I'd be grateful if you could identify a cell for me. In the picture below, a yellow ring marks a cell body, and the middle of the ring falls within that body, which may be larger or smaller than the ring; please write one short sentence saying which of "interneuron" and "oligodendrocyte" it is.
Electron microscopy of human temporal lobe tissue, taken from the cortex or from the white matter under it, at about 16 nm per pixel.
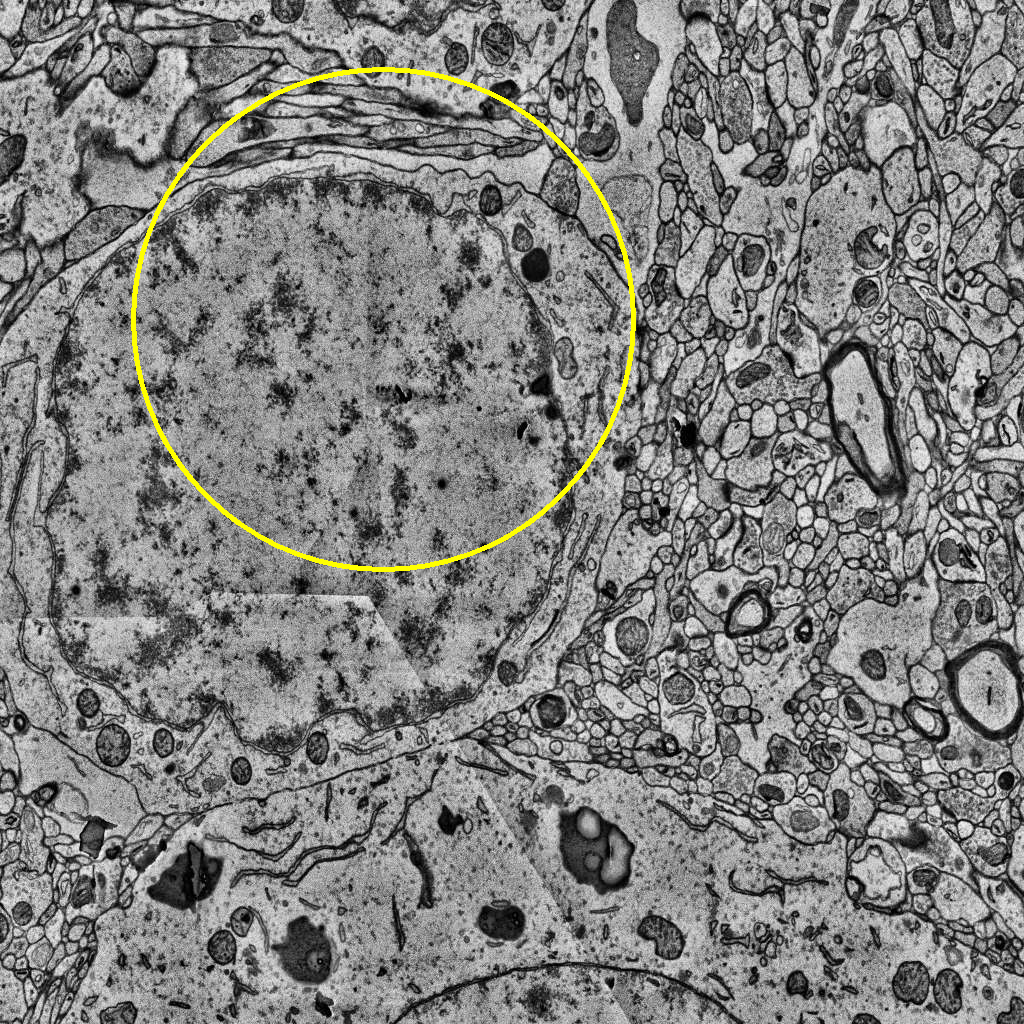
The cell under the ring's centre is an interneuron.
